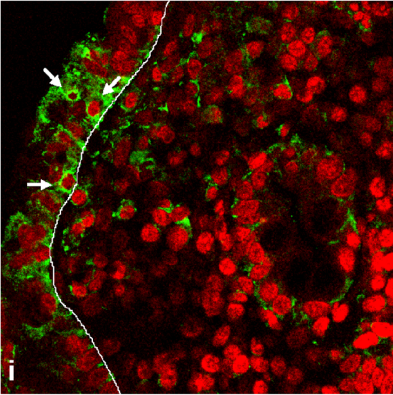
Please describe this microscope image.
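Green-outlined cells are also scattered through the underlying tissue to the right of the line. Overall the epithelium looks densely infiltrated rather than forming a tidy single row of nuclei.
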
